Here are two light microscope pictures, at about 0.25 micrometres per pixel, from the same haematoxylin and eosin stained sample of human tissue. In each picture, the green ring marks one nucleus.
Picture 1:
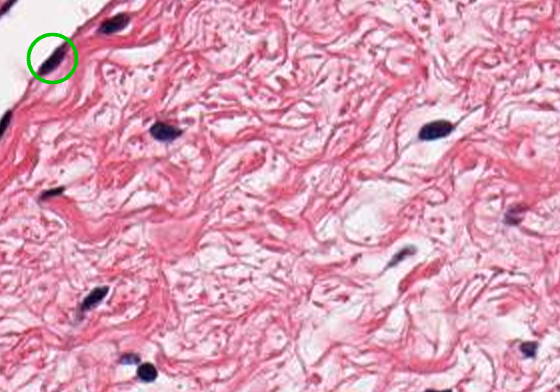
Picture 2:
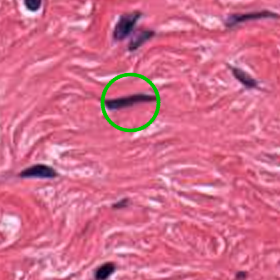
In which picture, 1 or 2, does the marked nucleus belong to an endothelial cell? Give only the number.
1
